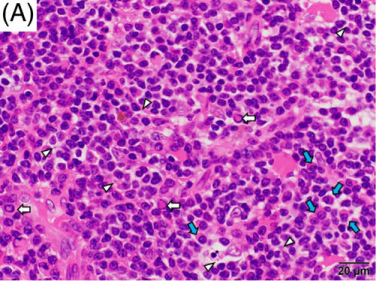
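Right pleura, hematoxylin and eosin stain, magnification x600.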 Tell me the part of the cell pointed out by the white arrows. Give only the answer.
Dutcher bodies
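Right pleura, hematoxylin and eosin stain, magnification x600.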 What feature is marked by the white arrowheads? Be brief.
Lymphoglandular bodies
